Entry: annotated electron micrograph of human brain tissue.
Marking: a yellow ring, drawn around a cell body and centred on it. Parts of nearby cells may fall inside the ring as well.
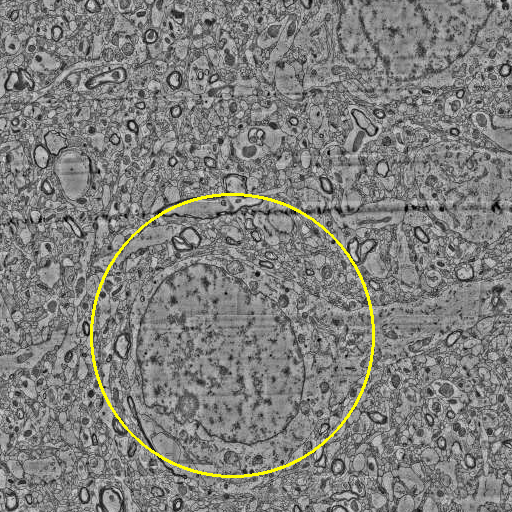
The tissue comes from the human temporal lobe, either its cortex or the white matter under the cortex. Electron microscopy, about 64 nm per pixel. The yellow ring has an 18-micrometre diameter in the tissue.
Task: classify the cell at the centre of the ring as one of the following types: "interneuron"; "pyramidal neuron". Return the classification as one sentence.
The marked cell is classified as a pyramidal neuron.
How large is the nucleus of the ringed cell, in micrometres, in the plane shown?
Approximately 12 micrometres long and 10 micrometres wide, in this plane.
